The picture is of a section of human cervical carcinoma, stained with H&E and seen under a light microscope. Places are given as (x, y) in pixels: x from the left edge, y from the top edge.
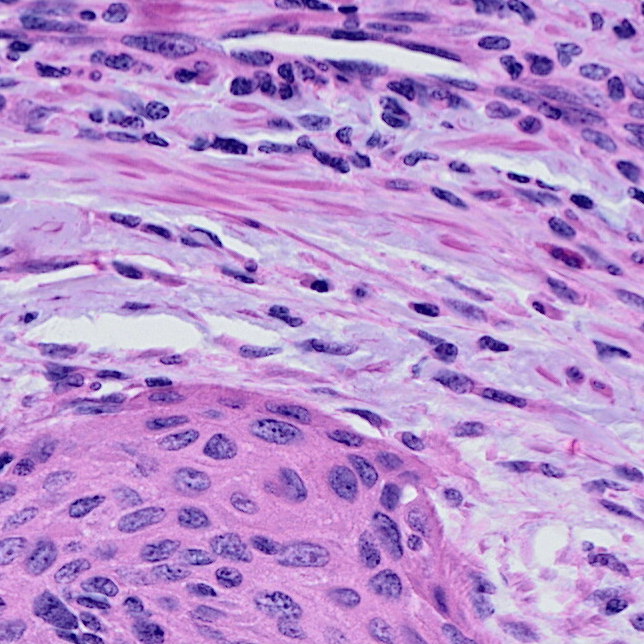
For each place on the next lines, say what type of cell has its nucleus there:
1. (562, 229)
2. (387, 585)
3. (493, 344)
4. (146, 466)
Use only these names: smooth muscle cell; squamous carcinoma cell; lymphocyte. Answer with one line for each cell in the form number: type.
1: lymphocyte
2: squamous carcinoma cell
3: lymphocyte
4: squamous carcinoma cell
